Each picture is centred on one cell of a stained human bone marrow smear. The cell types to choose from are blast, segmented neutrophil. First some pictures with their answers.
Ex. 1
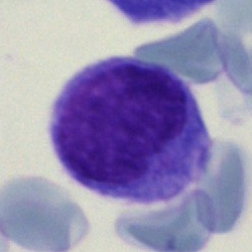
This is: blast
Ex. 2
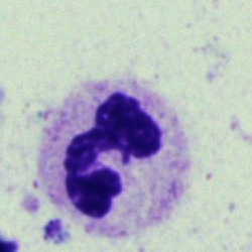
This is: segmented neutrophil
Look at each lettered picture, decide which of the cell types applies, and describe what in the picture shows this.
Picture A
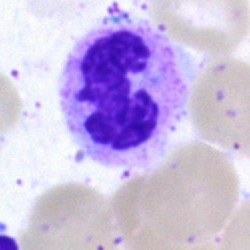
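Answer: segmented neutrophil. Fine pink-purple granules are scattered through the cytoplasm.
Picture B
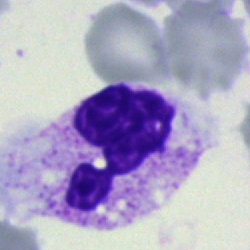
Answer: segmented neutrophil. The cytoplasm is abundant and pale lilac.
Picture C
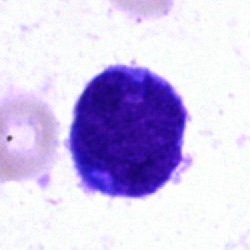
Answer: blast. Cytoplasm is scant, seen only as small paler blue patches at the cell's edge.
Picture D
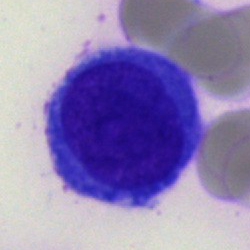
Answer: blast. The cytoplasm forms a narrow deep blue rim around the nucleus.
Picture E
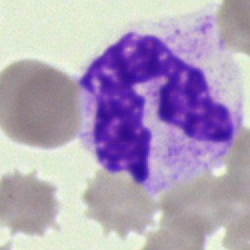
Answer: segmented neutrophil. The chromatin is dark purple and coarsely clumped, with small pale spots scattered through it.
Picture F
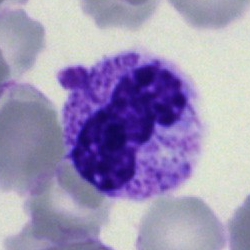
Answer: segmented neutrophil. The chromatin is dark purple and coarsely clumped.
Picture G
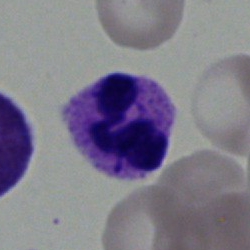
Answer: segmented neutrophil. The cytoplasm is plentiful and pale lilac-pink.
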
